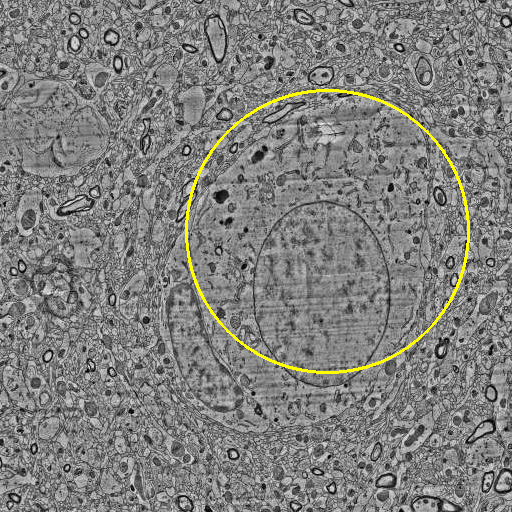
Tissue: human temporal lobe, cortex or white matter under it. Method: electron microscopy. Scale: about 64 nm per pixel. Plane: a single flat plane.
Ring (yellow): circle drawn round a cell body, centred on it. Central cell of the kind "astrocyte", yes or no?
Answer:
no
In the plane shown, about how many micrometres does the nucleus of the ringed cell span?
The ringed cell's nucleus measures approximately 12 by 9 micrometres in this plane.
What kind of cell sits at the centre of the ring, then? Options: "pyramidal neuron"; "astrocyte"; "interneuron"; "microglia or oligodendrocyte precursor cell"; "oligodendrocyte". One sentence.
The cell ringed in the picture is a pyramidal neuron.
